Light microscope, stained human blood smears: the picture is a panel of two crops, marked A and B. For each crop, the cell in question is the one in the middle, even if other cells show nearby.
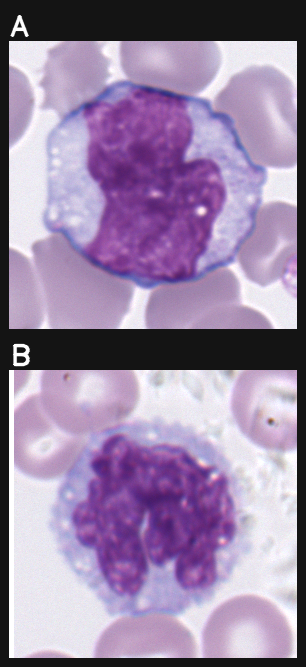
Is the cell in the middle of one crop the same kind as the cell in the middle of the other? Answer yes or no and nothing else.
yes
